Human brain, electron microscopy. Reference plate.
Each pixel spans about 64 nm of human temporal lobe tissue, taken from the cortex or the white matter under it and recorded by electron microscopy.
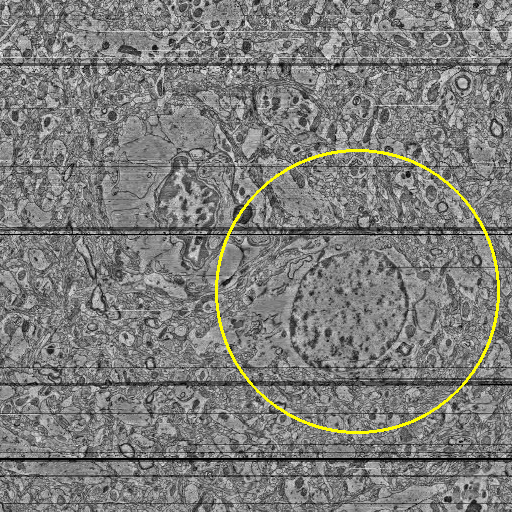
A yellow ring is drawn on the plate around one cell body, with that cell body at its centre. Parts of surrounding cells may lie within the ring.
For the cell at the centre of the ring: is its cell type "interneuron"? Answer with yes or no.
No, its cell type is another one.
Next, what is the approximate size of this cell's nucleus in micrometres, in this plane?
Roughly 8 micrometres by 7 micrometres, in this plane.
